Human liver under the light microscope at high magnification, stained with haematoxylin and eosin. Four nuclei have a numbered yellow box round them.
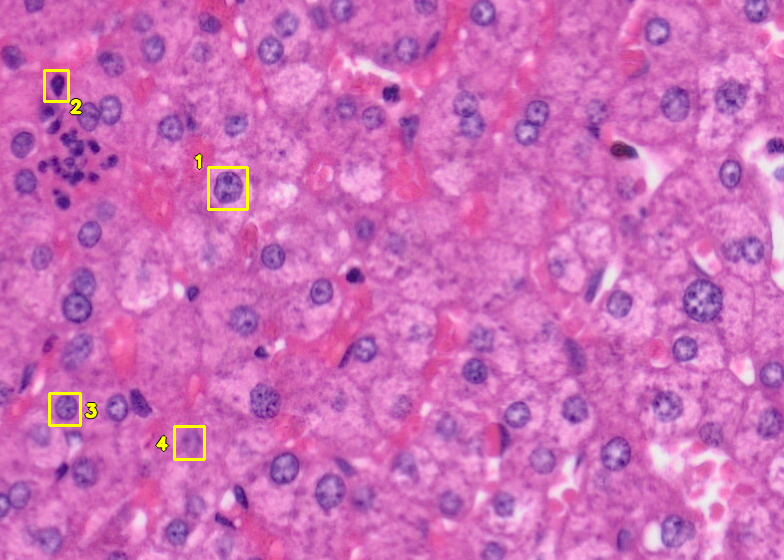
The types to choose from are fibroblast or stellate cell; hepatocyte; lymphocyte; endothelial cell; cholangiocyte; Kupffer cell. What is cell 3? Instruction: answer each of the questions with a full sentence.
The one numbered 3 among the marked cells is a hepatocyte.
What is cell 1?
Identified by the number 1, the cell is a hepatocyte.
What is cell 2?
The cell numbered 2 has been identified as a lymphocyte.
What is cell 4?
In this section, the cell numbered 4 is a hepatocyte.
